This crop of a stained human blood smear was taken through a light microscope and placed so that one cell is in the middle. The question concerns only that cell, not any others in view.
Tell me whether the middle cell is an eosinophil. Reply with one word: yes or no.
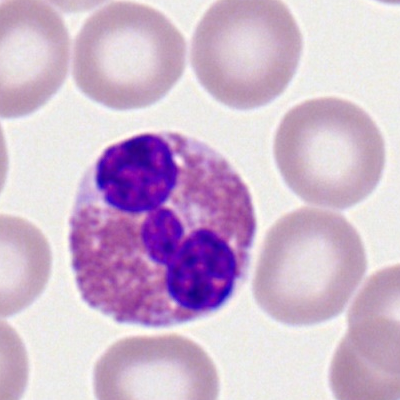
yes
